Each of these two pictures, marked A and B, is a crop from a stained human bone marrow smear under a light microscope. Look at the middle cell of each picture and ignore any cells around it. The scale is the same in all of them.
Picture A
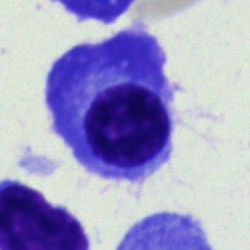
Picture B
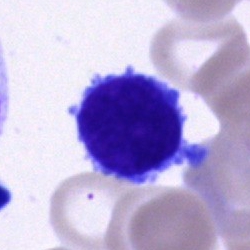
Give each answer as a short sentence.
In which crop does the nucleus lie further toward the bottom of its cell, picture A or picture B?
The nucleus in picture A lies further toward the bottom of its cell.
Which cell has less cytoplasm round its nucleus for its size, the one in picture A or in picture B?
It is the cell in picture B that is filled more by its nucleus.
